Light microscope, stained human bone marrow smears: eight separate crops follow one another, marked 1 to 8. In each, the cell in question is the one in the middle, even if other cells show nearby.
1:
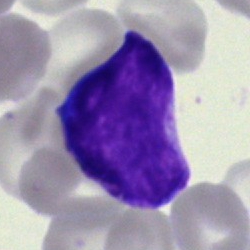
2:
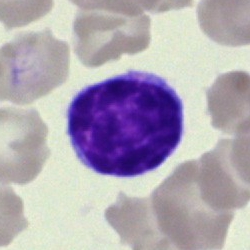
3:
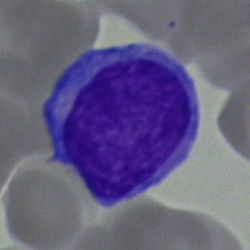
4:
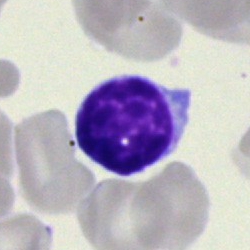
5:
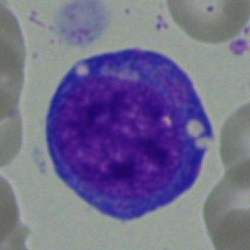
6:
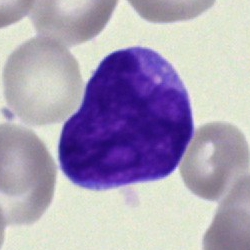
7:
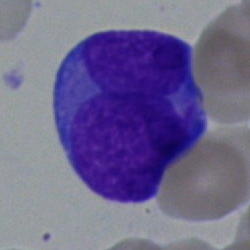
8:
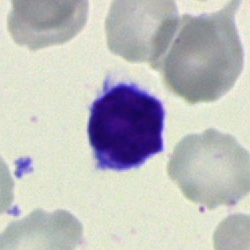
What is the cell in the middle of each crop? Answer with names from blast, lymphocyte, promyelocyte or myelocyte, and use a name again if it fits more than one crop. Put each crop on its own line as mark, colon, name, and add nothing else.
1: blast
2: lymphocyte
3: blast
4: lymphocyte
5: promyelocyte
6: blast
7: blast
8: lymphocyte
